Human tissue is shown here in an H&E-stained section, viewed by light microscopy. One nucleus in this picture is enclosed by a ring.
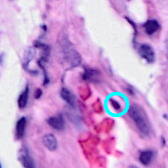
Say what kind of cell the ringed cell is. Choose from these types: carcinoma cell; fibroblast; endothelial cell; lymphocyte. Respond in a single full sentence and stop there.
In this section, the ringed cell is an endothelial cell.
